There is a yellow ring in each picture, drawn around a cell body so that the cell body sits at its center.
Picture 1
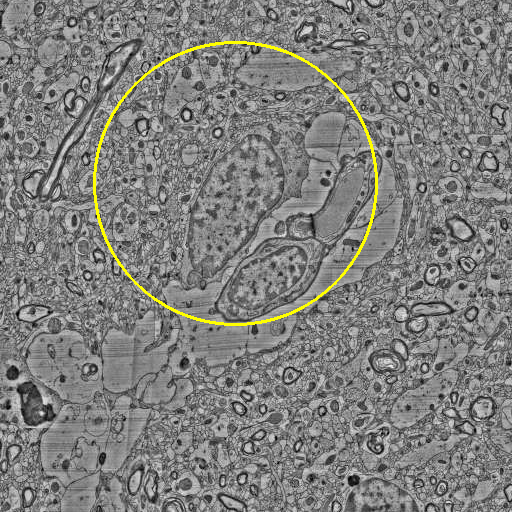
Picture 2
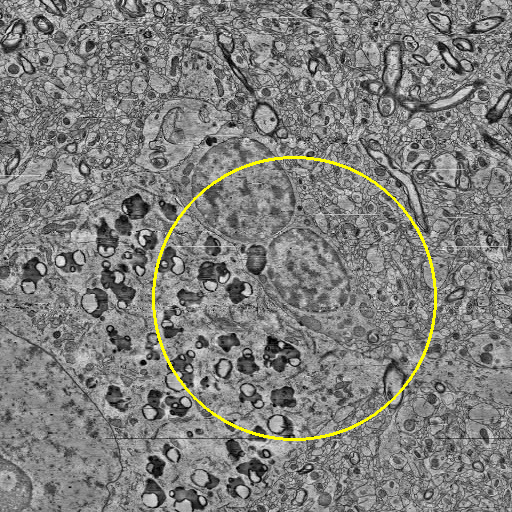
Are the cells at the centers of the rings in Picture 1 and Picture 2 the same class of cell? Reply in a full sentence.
Yes, the two cells are the same class of cell.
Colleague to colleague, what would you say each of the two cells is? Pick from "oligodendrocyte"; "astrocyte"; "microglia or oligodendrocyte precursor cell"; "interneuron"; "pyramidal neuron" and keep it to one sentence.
In both pictures the ring is centred on an oligodendrocyte.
